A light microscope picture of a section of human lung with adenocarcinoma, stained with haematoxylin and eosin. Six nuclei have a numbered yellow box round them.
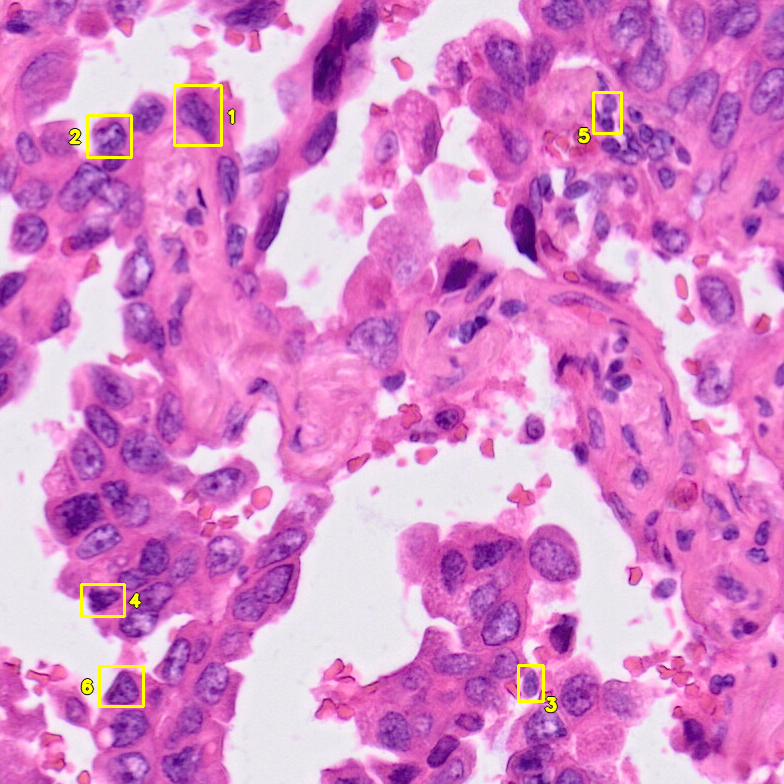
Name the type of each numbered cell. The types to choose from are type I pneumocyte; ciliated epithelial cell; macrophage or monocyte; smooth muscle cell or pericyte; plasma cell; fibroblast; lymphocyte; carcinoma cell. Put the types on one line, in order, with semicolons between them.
carcinoma cell; carcinoma cell; lymphocyte; carcinoma cell; lymphocyte; carcinoma cell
